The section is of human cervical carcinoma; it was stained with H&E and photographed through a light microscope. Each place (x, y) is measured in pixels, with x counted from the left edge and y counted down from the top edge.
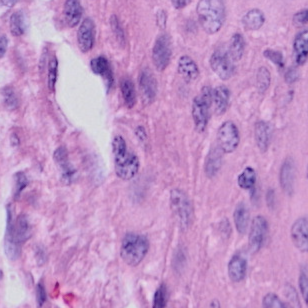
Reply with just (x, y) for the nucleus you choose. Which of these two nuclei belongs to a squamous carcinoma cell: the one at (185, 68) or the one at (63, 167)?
(185, 68)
